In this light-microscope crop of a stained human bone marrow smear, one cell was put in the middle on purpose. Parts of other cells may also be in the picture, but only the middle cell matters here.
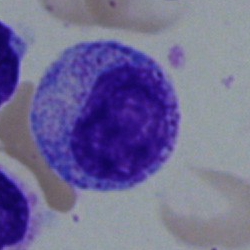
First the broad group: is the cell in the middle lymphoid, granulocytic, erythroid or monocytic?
granulocytic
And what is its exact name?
myelocyte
